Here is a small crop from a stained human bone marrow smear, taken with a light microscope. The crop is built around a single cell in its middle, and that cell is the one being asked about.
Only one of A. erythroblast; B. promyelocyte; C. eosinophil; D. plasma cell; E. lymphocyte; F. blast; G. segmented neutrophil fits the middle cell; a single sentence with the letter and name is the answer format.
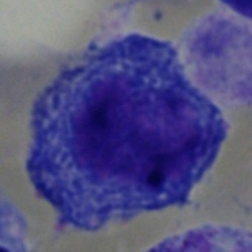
In this crop the middle cell is a promyelocyte, so option B is the correct answer.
